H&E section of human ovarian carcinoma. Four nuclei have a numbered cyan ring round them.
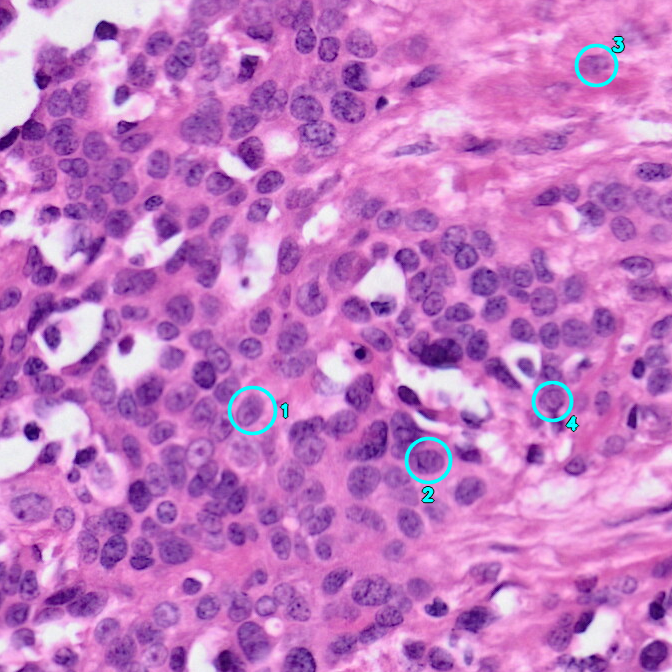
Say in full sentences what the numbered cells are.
Cell 1 is a carcinoma cell, cell 2 is a carcinoma cell, cell 3 is a fibroblast and cell 4 is a carcinoma cell.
